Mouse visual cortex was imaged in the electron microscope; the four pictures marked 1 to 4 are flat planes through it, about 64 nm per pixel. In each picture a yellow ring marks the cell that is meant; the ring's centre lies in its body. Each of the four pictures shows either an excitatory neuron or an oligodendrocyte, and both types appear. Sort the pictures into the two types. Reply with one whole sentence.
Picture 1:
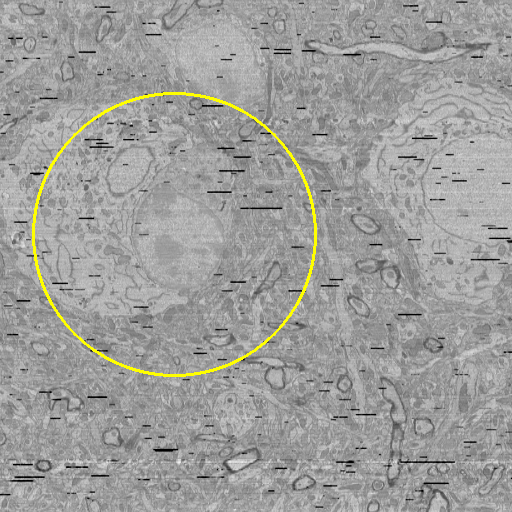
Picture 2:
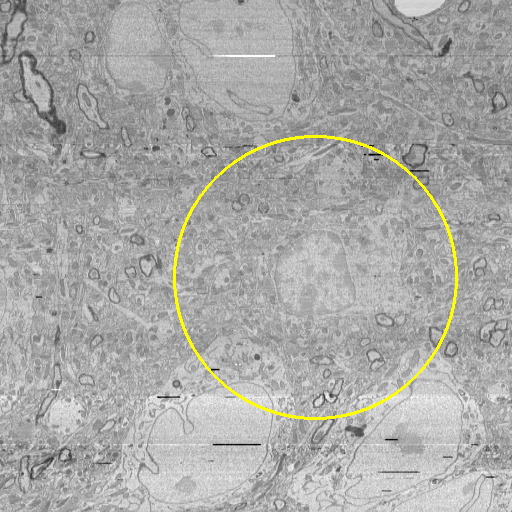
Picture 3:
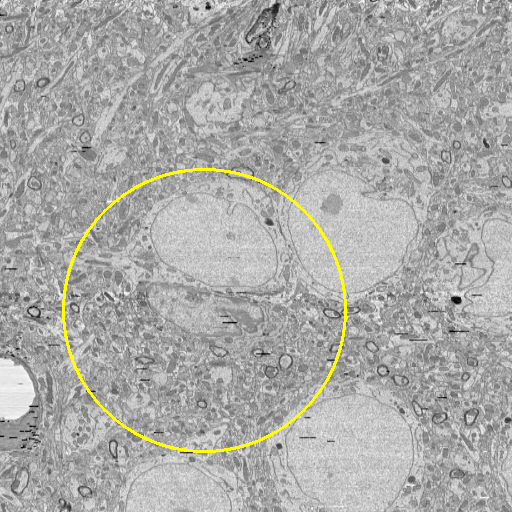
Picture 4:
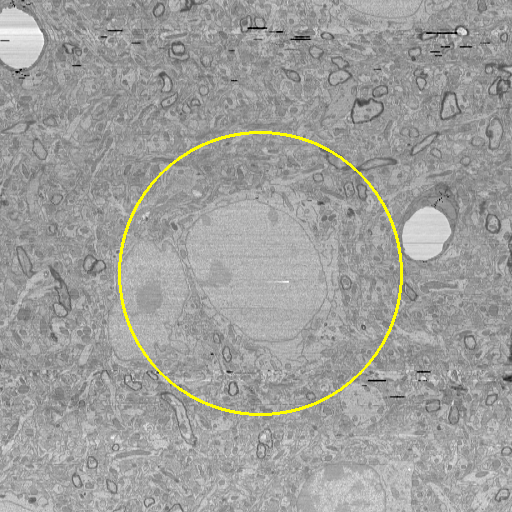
Picture 4 shows an excitatory neuron; pictures 1, 2 and 3 show oligodendrocytes.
